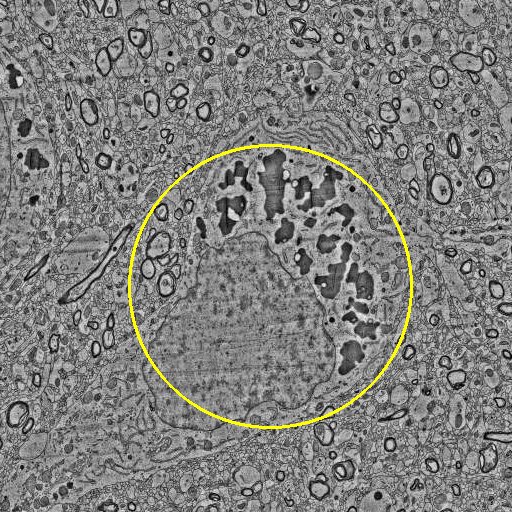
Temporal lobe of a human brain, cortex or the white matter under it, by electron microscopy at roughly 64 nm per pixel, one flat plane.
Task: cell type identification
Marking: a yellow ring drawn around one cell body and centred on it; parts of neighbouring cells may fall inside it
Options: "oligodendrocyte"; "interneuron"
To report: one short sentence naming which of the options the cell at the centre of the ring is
The cell at the centre of the ring is an interneuron.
